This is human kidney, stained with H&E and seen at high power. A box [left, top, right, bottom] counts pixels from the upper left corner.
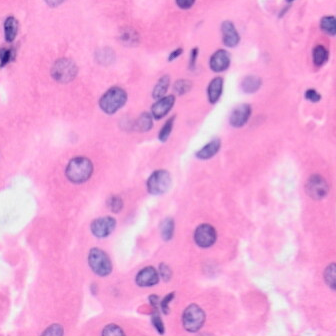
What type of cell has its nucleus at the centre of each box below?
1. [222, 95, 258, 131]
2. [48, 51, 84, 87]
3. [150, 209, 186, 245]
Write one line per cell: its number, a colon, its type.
1: collecting duct cell
2: proximal tubule cell
3: collecting duct cell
